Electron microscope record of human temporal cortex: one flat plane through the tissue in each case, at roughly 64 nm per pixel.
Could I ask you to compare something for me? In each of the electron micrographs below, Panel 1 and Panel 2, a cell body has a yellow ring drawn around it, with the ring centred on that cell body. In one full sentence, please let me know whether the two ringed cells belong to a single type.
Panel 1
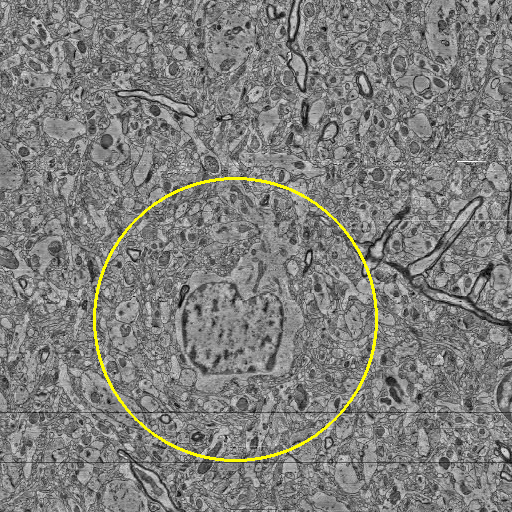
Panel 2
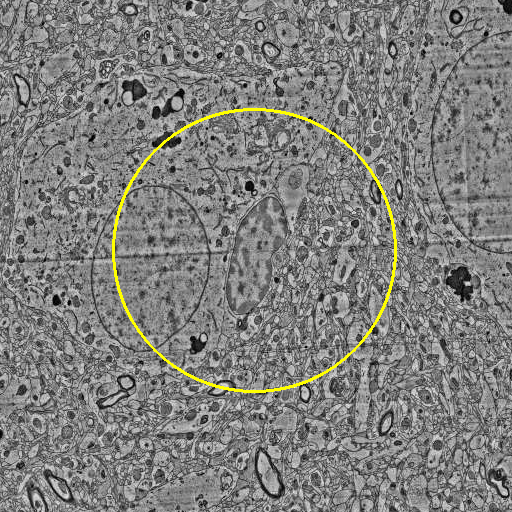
Yes, the two cells at the centres of the rings are of one type.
